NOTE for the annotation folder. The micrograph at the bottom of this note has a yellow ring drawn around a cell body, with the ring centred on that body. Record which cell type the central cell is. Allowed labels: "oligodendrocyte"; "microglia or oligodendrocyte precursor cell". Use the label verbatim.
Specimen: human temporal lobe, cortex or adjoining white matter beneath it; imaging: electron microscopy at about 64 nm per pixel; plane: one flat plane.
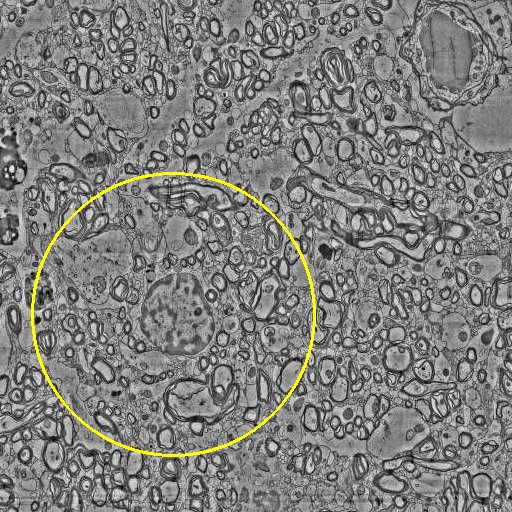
microglia or oligodendrocyte precursor cell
